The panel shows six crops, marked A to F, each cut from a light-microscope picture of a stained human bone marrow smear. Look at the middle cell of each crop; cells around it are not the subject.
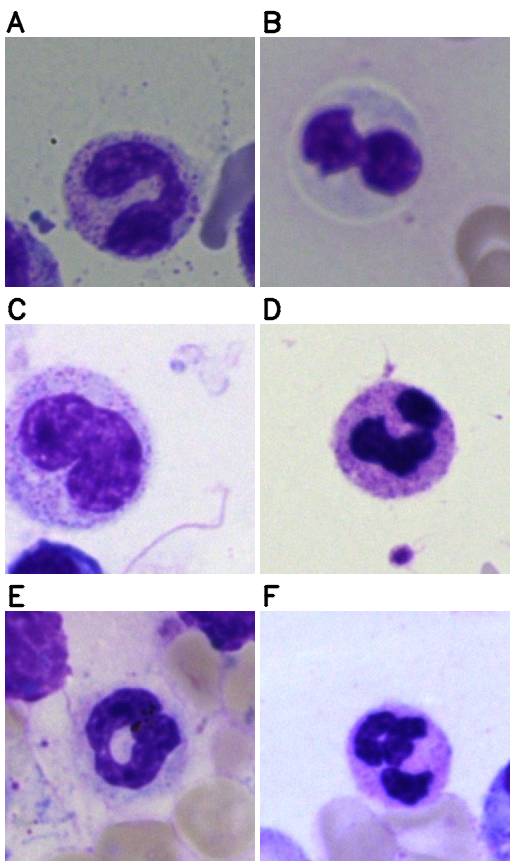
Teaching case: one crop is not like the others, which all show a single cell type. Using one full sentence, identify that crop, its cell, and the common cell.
The single exception is crop C, which is a band neutrophil; all other crops show segmented neutrophils.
